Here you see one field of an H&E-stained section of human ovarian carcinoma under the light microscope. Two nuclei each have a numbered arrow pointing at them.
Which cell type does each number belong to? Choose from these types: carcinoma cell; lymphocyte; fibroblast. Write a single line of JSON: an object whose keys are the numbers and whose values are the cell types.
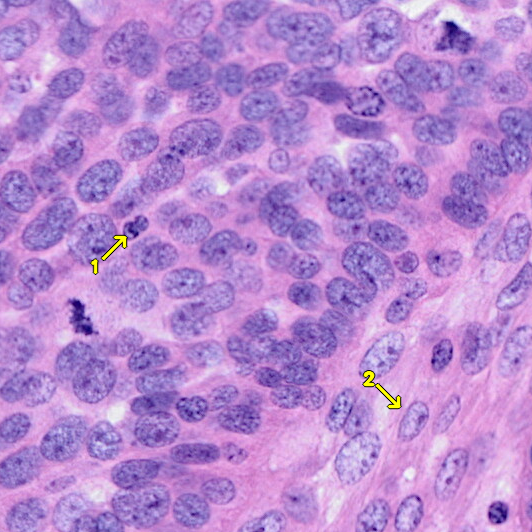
{"1": "lymphocyte", "2": "fibroblast"}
